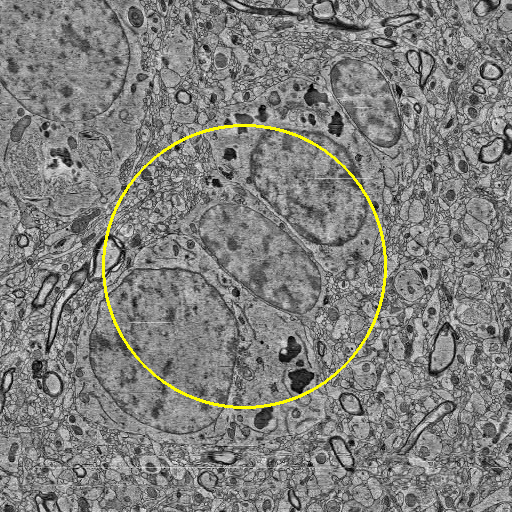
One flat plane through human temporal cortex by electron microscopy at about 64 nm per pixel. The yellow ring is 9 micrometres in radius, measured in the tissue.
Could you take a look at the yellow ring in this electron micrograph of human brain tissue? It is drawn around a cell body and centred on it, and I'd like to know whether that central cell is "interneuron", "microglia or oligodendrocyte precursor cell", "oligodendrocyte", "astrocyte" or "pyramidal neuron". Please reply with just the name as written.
oligodendrocyte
